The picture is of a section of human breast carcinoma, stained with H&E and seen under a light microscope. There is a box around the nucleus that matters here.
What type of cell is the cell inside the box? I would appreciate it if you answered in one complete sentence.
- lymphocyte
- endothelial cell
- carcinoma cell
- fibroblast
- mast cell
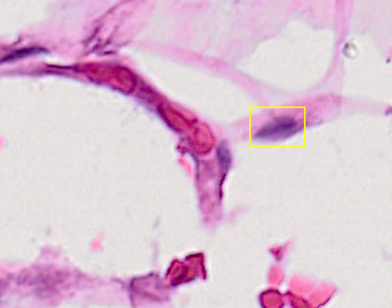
Cell type answer for this item: the cell inside the box is an endothelial cell.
